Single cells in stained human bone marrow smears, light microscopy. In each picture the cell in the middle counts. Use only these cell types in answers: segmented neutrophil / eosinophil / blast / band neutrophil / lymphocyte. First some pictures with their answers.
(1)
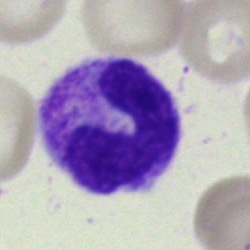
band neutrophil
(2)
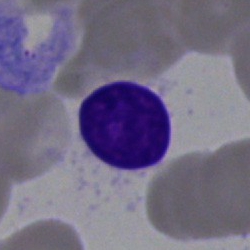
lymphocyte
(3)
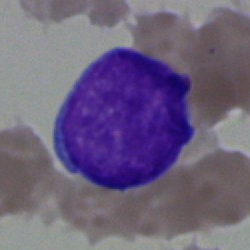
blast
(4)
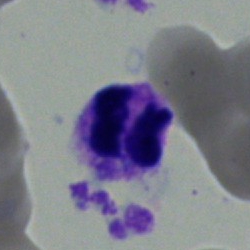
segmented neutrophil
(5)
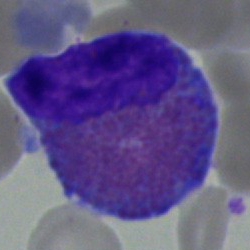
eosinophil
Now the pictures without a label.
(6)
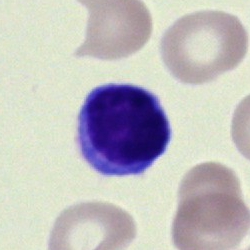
lymphocyte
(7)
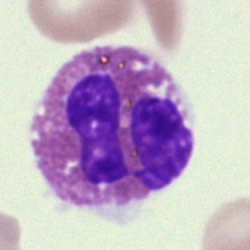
eosinophil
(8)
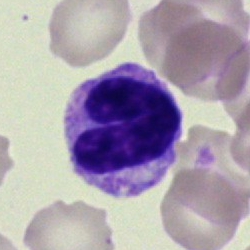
band neutrophil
